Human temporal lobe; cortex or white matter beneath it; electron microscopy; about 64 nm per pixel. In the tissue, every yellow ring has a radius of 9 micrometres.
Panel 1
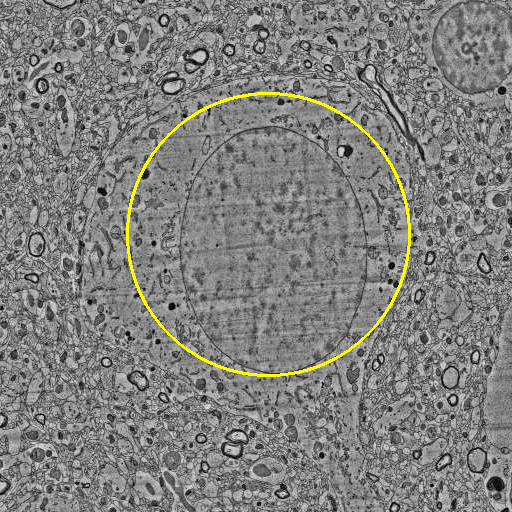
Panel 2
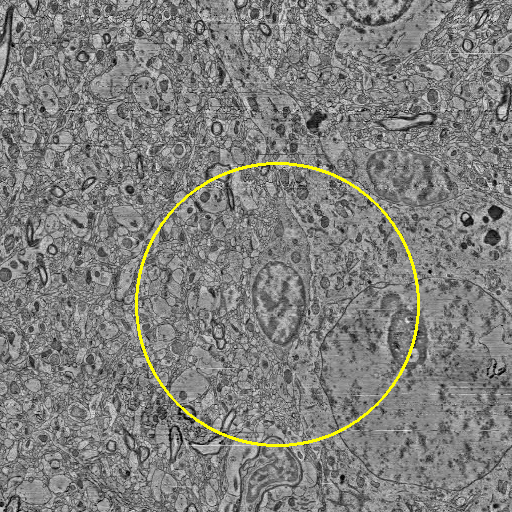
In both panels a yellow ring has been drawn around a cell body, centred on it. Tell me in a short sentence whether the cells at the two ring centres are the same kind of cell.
No, they are two kinds of cell.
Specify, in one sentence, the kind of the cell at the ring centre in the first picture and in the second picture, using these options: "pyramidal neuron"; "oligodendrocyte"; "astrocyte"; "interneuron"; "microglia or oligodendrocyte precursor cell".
So the first is a pyramidal neuron, the second an oligodendrocyte.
